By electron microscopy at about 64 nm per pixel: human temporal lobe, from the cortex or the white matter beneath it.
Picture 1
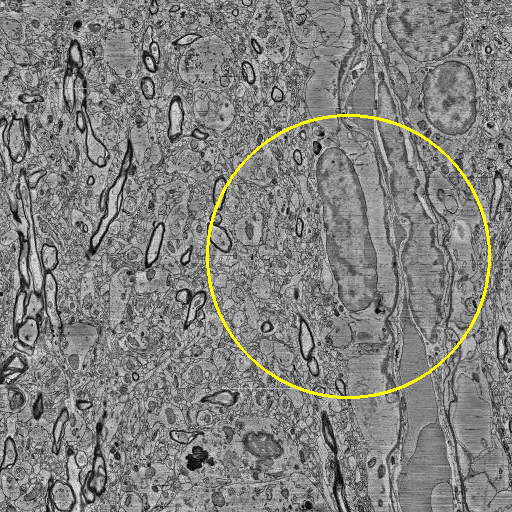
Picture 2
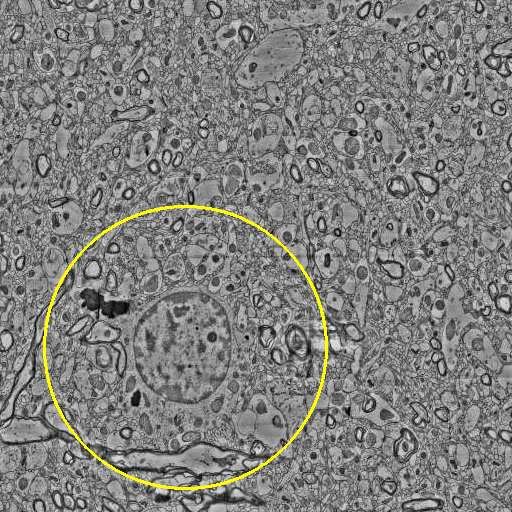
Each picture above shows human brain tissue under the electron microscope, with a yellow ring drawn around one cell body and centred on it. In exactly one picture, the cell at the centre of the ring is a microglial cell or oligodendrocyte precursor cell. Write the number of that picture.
1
